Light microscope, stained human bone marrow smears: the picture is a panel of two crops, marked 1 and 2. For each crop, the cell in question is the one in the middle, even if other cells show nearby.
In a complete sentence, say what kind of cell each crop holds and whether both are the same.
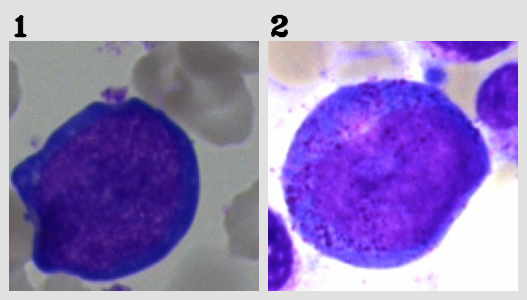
No, crop 1 shows a proerythroblast and crop 2 a promyelocyte.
